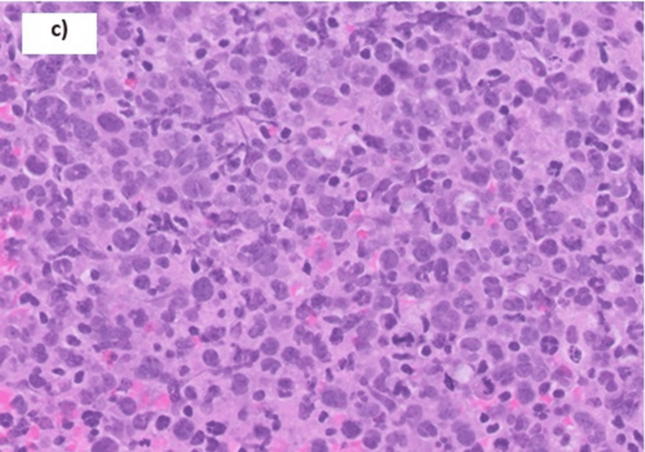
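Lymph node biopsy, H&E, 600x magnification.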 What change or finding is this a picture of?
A: diffuse infiltrate of large lymphoid cells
